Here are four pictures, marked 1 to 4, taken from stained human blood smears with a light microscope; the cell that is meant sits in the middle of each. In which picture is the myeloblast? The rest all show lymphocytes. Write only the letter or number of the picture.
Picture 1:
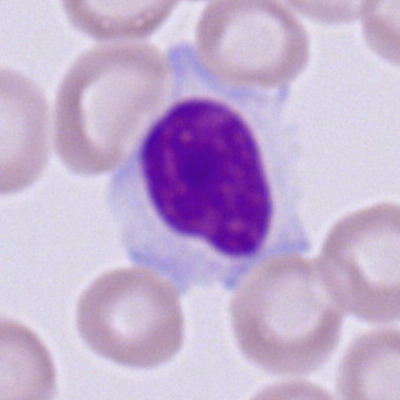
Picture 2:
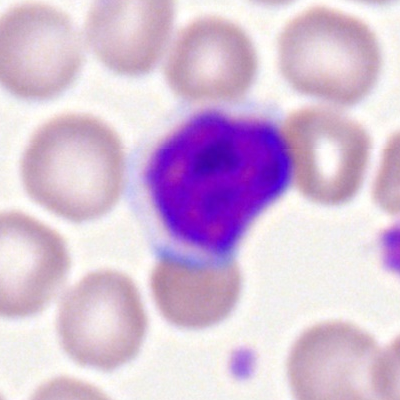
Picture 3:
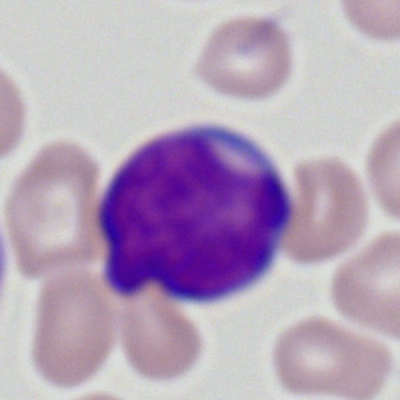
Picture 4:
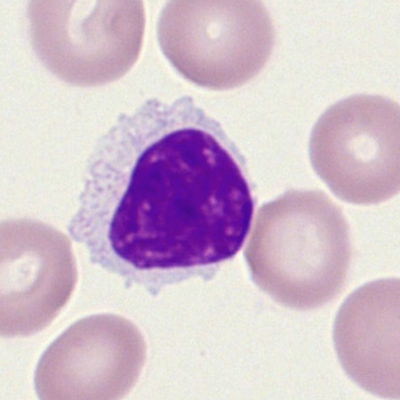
3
